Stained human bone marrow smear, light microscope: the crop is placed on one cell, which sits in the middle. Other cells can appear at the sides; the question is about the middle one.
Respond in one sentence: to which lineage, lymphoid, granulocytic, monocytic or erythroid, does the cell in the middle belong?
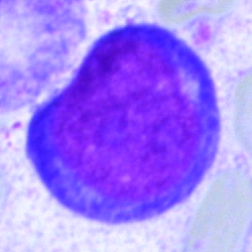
The cell that sits at the center is attributed to the erythroid lineage.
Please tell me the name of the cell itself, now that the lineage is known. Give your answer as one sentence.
The centered cell in this crop is a proerythroblast.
